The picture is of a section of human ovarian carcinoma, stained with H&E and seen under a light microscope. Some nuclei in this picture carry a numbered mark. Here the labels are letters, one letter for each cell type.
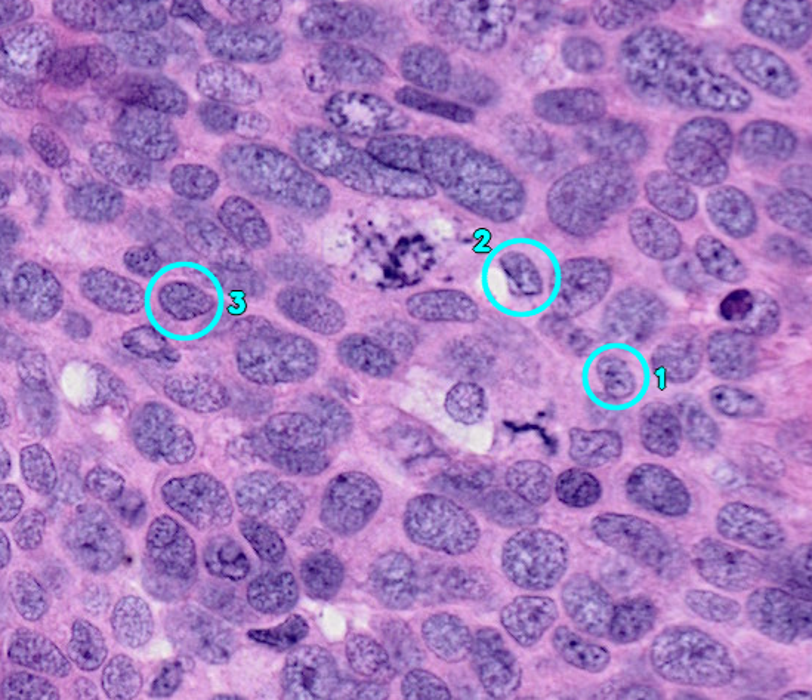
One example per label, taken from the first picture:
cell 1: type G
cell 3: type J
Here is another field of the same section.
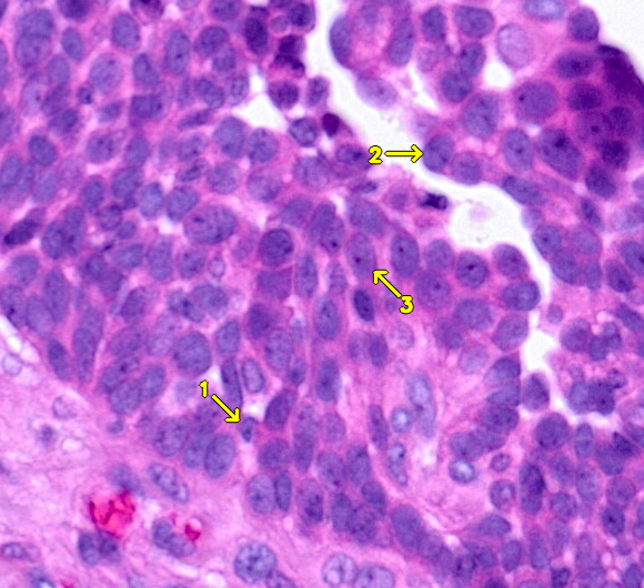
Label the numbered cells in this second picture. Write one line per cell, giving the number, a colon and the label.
1: type G
2: type J
3: type J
